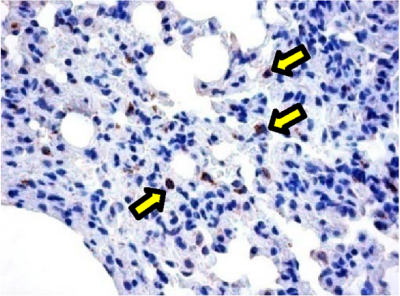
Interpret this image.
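This is lung parenchyma at high power. The septa are crowded with small, dark blue, oval to elongated nuclei belonging to the cells that line and support the alveolar walls. Among them lie a few scattered cells whose nuclei or cell bodies carry a dense brown stain, three of which are pointed out by yellow arrows. These brown cells lie singly within the septa rather than in clusters, and they are about the same size as their unstained neighbours. The background cytoplasm is pale and barely tinted.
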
